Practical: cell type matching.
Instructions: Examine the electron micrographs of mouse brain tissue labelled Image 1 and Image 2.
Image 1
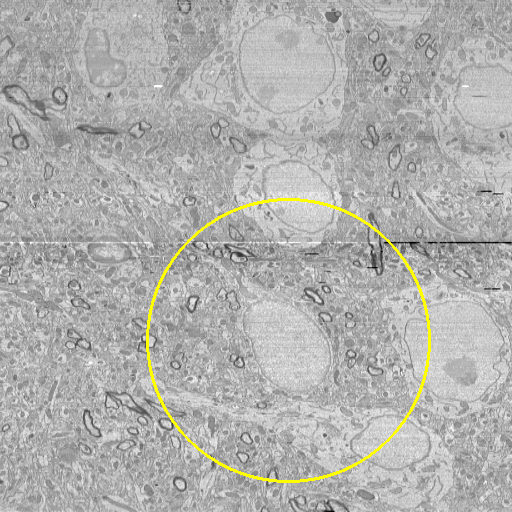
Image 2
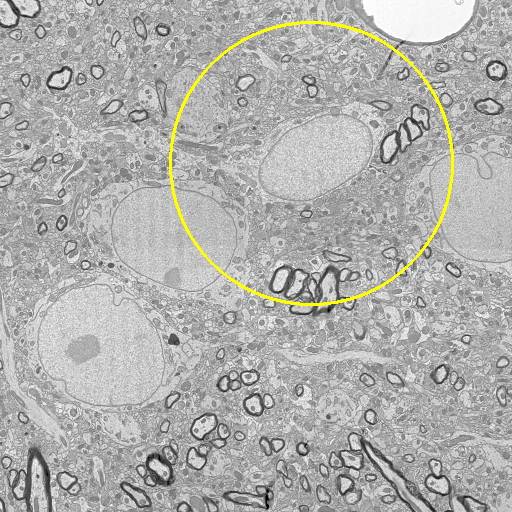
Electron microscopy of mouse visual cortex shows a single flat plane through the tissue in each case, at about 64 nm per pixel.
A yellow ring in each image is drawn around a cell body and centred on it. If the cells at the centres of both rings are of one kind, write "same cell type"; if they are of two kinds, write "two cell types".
same cell type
